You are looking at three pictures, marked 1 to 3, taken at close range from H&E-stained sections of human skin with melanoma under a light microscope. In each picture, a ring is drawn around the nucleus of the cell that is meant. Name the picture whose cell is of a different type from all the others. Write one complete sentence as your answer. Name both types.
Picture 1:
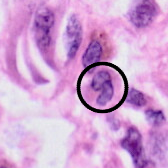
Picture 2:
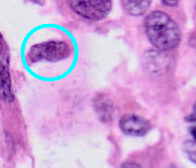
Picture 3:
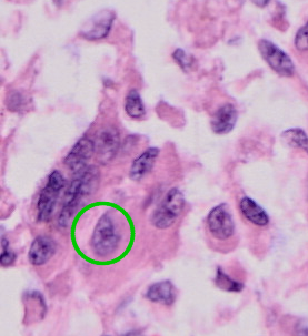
The different one is picture 1; it shows a “macrophage or monocyte”, whereas all the others show melanoma cells.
